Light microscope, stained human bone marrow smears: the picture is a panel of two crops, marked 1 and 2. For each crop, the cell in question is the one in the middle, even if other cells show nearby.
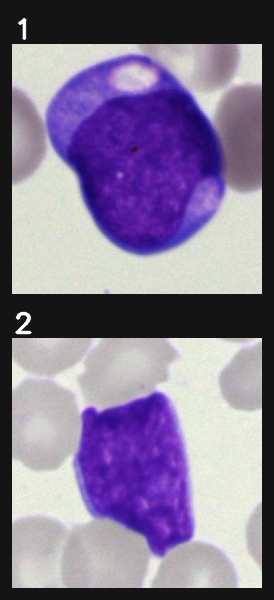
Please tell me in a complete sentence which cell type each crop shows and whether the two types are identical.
Yes, both crops show a cell each, and these are blasts.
